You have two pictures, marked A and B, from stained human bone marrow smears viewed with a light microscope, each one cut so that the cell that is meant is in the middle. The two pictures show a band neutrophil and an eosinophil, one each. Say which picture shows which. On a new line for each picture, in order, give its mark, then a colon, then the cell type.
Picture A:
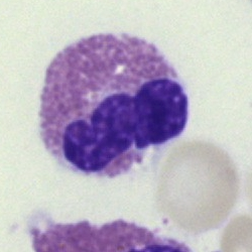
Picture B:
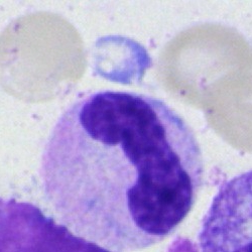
A: eosinophil
B: band neutrophil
